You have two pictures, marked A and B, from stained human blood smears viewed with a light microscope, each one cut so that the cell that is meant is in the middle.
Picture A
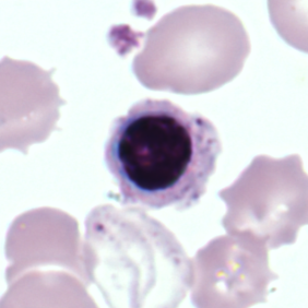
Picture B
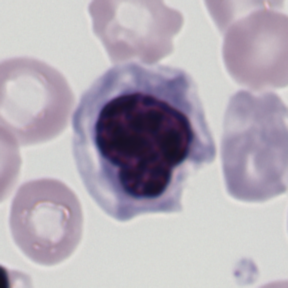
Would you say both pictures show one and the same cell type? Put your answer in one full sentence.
Yes, both are normoblasts.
